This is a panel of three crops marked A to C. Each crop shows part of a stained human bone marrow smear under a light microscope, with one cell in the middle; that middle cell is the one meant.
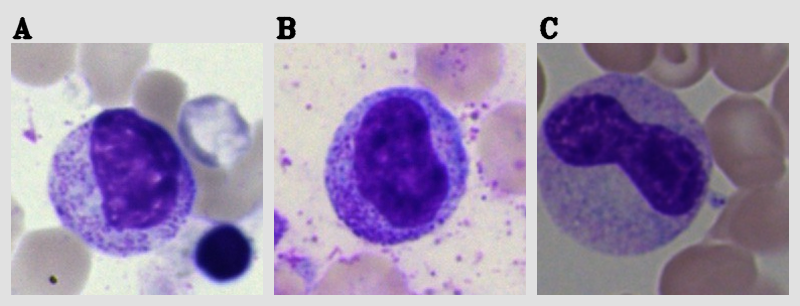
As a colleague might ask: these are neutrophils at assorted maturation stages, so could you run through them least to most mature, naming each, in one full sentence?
In terms of maturity, from lowest to highest, the order reads crop B (a myelocyte), crop A (a metamyelocyte) and crop C (a band neutrophil).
